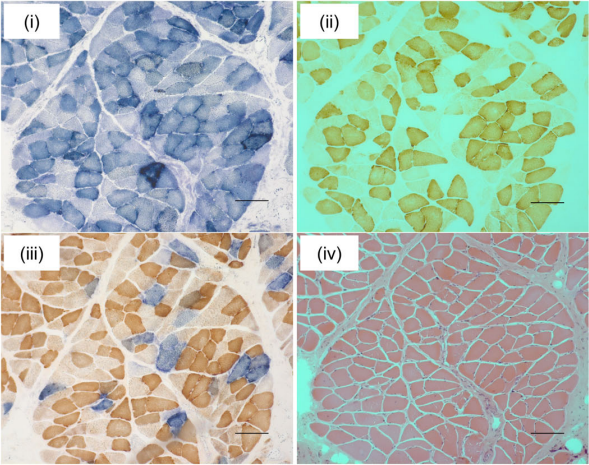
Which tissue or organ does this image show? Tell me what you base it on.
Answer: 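Cross-sectioned polygonal fibres packed side by side. Fibres grouped into fascicles separated by thin connective tissue septa. Nuclei sit at the edges of fibres in the pink and purple stained image. On this evidence: skeletal muscle.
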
